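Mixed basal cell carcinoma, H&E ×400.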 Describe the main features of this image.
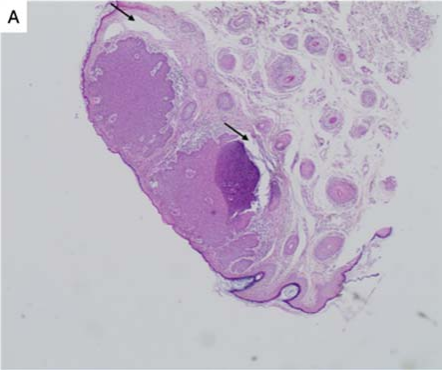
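Skin with two large, rounded, densely purple masses of basaloid tumor cells lies attached to the surface epithelium. The masses are fairly well circumscribed, and the purple is deepest at the edge of the lower lobule. White empty clefts separate parts of the lobules from the paler surrounding stroma. To the side, the dermis holds many round profiles of hair follicles cut in cross-section. These are the large basaloid lobules of a nodular tumor with retraction clefts.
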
